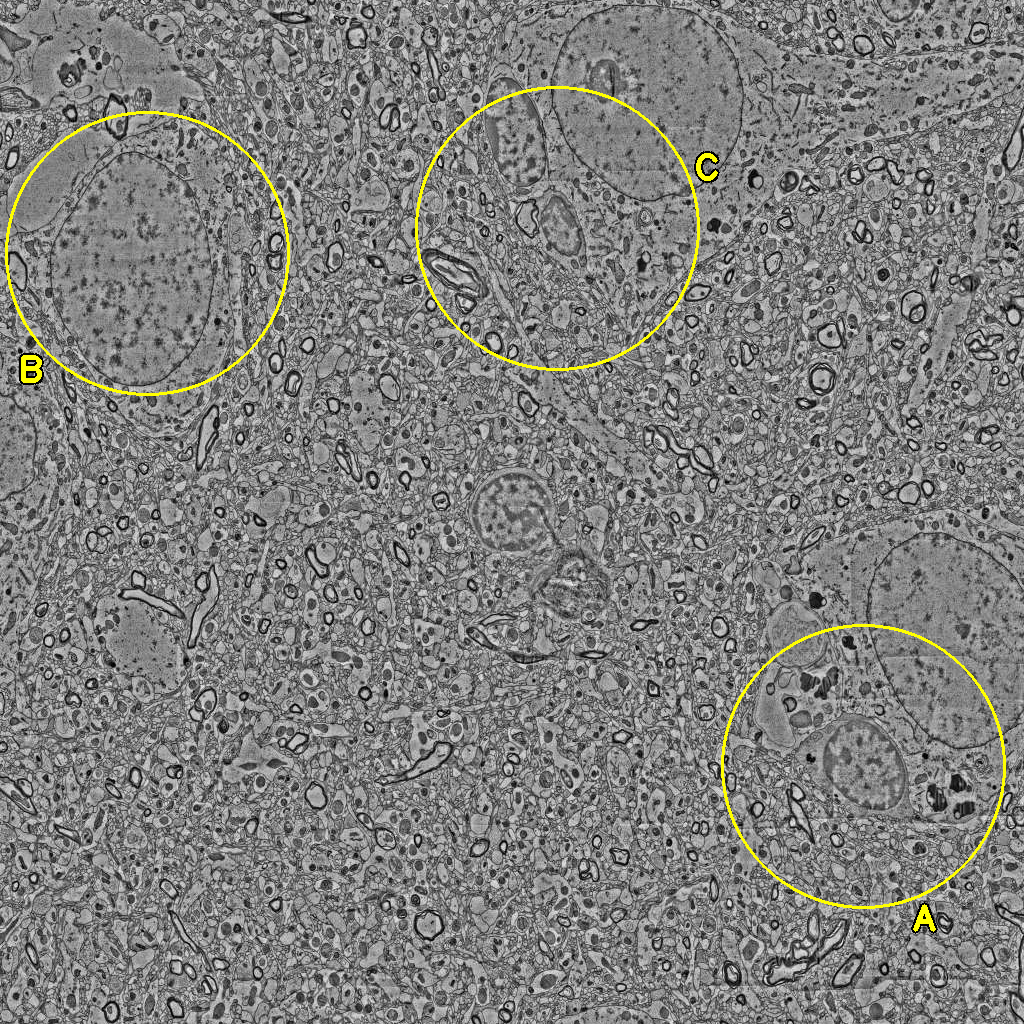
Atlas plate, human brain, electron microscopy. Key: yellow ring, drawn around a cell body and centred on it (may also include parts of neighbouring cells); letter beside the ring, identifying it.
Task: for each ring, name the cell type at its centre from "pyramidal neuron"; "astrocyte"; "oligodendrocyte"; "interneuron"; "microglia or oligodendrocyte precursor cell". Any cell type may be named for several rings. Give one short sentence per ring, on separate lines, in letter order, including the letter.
Ring A is centred over an oligodendrocyte.
Ring B is centred over a pyramidal neuron.
Ring C is centred over an oligodendrocyte.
